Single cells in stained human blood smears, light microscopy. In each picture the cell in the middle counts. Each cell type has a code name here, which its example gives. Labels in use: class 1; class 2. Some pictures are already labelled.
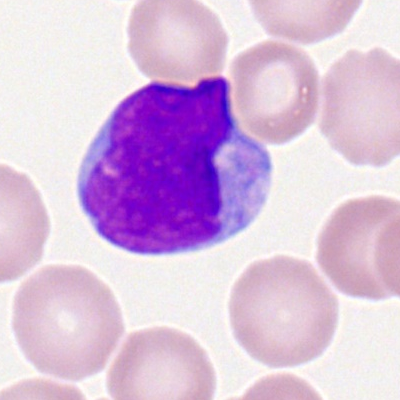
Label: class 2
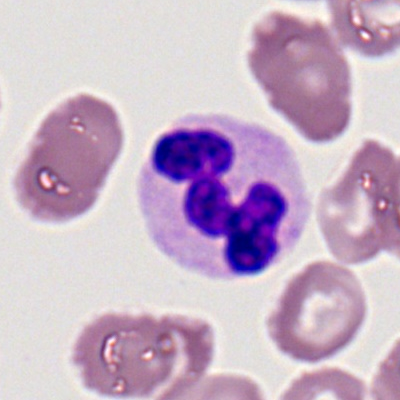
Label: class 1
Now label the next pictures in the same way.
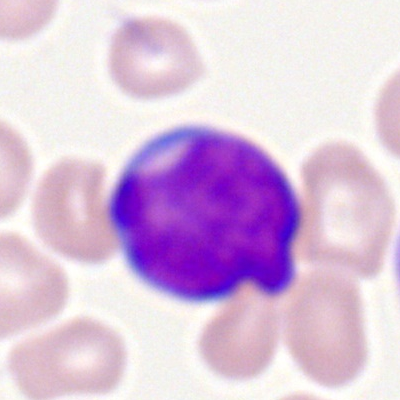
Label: class 2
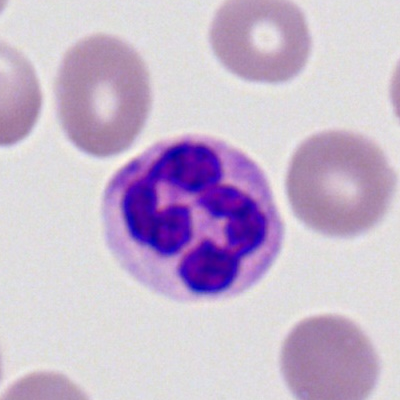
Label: class 1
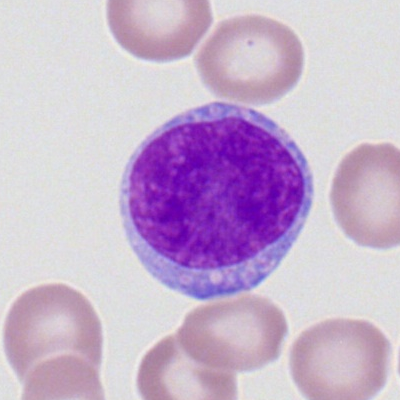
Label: class 2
